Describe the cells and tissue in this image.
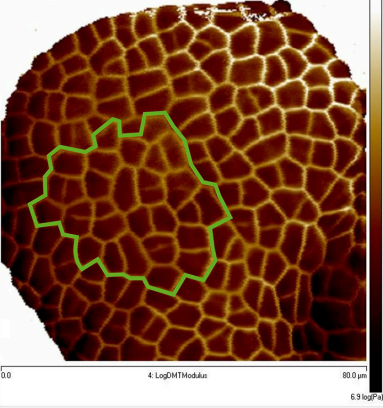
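The cells are small, polygonal and tightly packed, with no gaps between them, and their interiors appear as dark brown. A green line encloses a patch of neighbouring cells in the middle of the dome.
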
